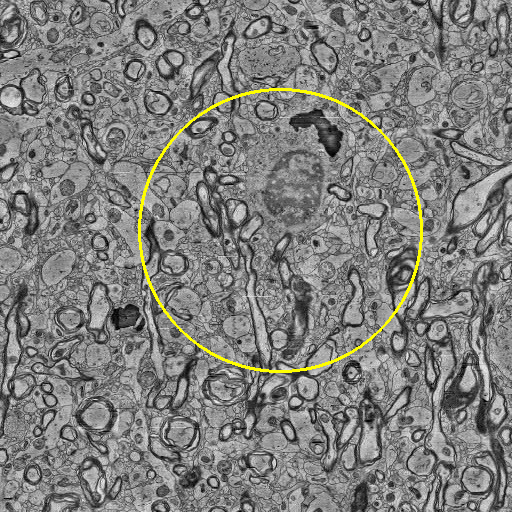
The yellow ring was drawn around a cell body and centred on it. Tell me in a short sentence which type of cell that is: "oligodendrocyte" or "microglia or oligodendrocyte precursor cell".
The cell at the ring's centre is an oligodendrocyte.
